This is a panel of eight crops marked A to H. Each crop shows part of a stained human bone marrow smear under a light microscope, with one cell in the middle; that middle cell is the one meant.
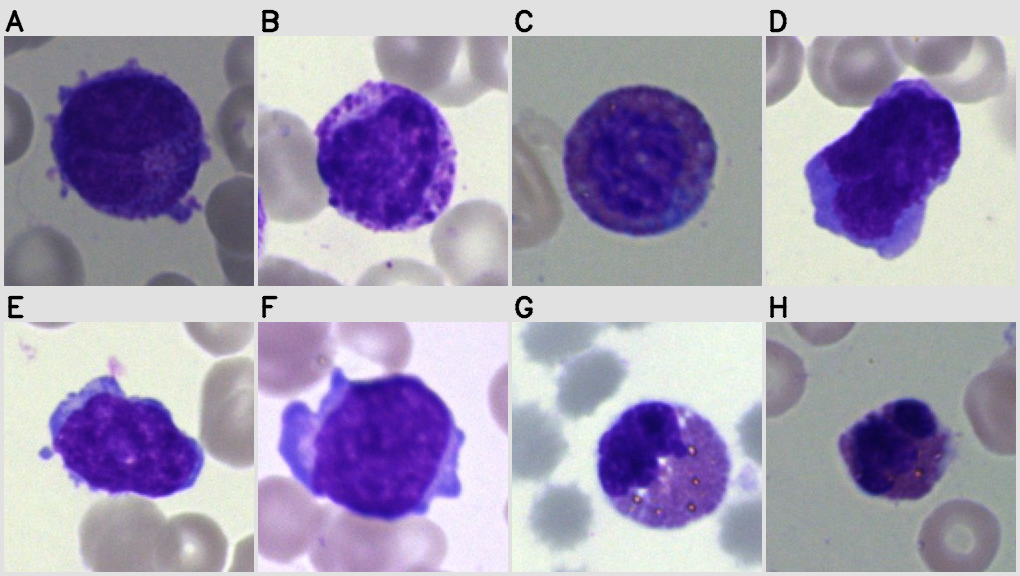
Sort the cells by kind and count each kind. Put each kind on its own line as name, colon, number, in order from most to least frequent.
blast: 4
eosinophil: 3
basophil: 1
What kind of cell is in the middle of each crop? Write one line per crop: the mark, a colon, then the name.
A: blast
B: basophil
C: eosinophil
D: blast
E: blast
F: blast
G: eosinophil
H: eosinophil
